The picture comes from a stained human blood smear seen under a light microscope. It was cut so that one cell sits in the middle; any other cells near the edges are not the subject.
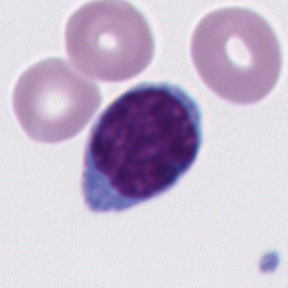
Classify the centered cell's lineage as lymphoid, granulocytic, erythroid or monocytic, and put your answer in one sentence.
The central cell of this crop is identified as belonging to the lymphoid lineage.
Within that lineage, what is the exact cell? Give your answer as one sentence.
The cell positioned in the middle of the field is a typical lymphocyte.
